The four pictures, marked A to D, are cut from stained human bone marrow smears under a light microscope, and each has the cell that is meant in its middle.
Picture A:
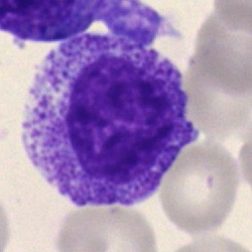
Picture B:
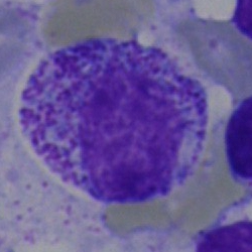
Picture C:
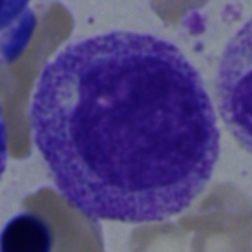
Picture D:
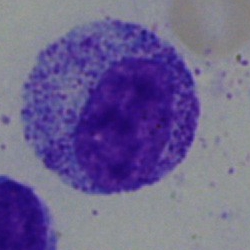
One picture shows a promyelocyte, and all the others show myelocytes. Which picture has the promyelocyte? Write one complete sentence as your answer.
Picture B shows the promyelocyte.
